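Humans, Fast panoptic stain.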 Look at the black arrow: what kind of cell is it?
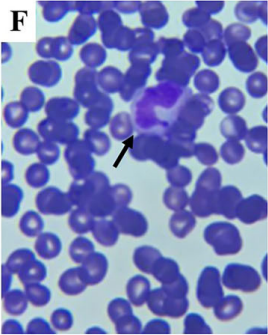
Monocytes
